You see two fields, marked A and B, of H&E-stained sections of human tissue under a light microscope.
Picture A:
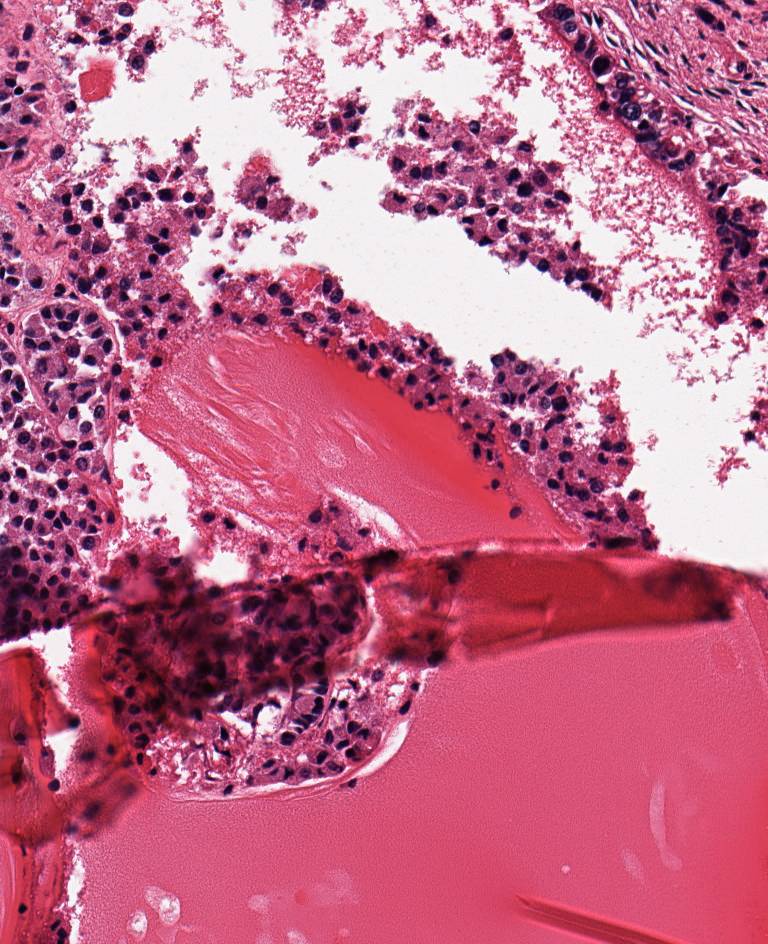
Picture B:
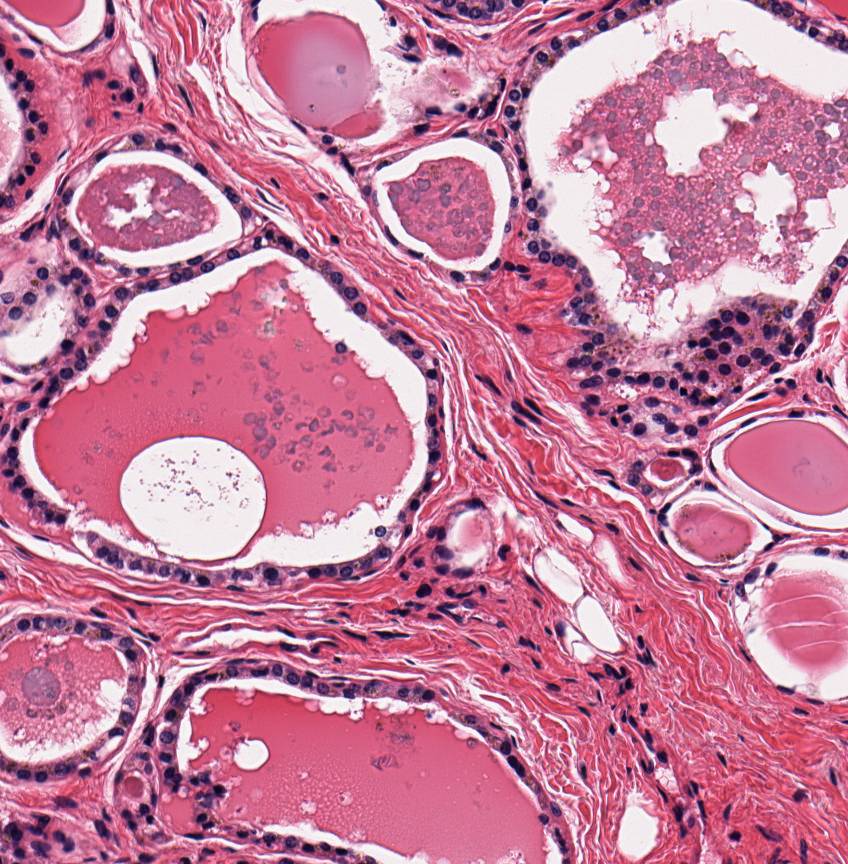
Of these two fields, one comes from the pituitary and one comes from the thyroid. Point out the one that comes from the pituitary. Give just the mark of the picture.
A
